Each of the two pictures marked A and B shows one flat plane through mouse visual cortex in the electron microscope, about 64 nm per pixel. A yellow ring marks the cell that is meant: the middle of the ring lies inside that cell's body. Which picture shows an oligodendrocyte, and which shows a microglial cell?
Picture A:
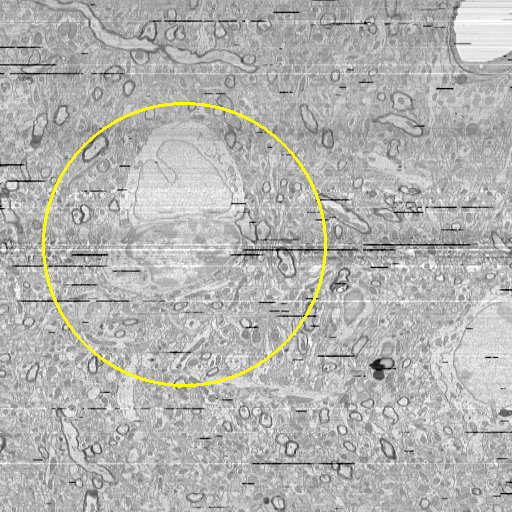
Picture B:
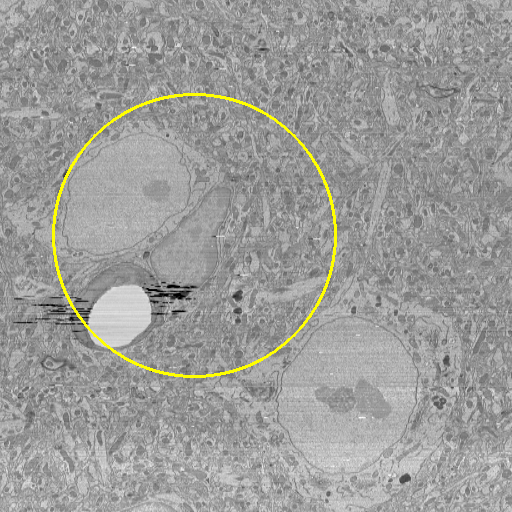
In picture A the cell is an oligodendrocyte; in picture B, a microglial cell.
